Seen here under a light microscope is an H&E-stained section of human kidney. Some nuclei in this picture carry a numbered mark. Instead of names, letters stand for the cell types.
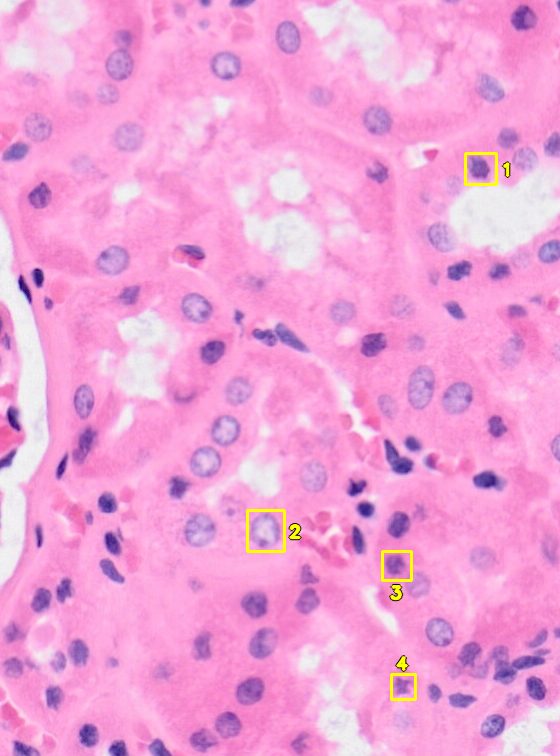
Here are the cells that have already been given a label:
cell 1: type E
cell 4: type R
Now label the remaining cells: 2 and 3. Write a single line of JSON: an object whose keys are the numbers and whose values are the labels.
{"2": "type R", "3": "type R"}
